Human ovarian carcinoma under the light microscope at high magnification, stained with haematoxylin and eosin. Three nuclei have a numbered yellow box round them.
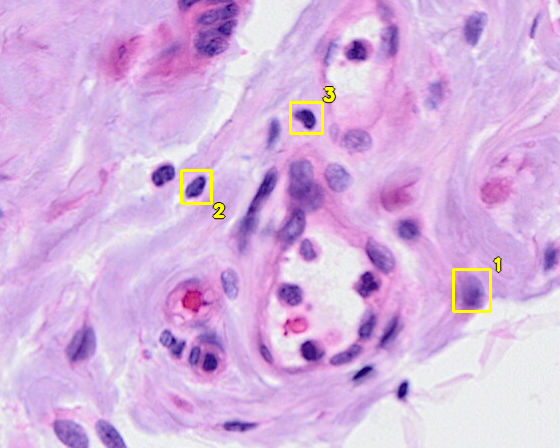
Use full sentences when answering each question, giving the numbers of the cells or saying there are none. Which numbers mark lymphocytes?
The cells labelled 2 and 3 in this section are lymphocytes.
